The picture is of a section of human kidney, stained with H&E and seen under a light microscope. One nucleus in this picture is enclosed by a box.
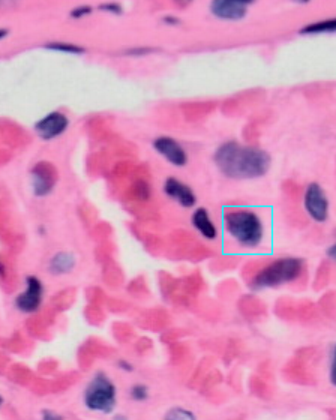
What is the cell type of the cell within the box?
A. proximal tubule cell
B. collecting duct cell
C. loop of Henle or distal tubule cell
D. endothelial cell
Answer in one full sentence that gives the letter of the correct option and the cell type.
What option D states, that the cell within the box is an endothelial cell, is correct.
